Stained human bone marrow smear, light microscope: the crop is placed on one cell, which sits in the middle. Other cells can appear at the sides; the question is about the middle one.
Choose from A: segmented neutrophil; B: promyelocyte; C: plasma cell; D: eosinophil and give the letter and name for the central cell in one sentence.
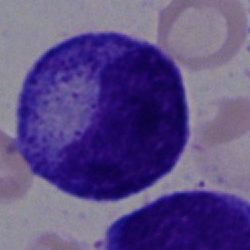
According to option B, which is correct, the cell in the middle is a promyelocyte.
